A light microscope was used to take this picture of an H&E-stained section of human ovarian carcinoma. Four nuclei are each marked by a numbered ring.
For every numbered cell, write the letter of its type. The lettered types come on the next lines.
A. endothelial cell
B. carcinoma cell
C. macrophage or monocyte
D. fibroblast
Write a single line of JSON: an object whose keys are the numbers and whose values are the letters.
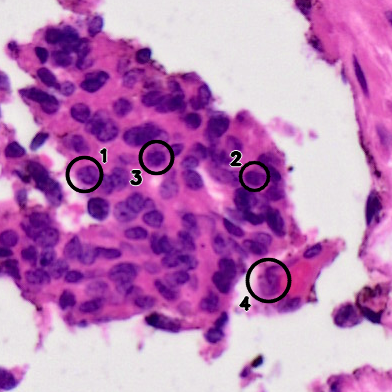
{"1": "B", "2": "B", "3": "B", "4": "A"}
